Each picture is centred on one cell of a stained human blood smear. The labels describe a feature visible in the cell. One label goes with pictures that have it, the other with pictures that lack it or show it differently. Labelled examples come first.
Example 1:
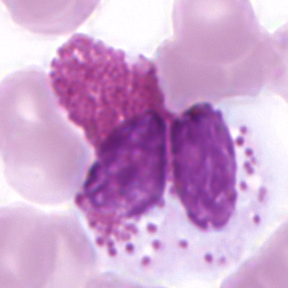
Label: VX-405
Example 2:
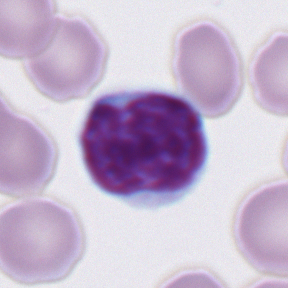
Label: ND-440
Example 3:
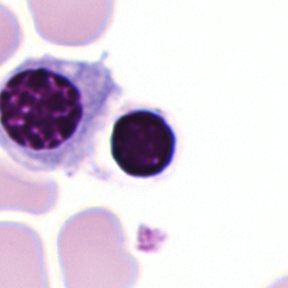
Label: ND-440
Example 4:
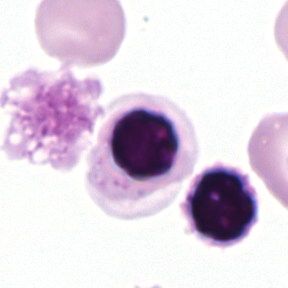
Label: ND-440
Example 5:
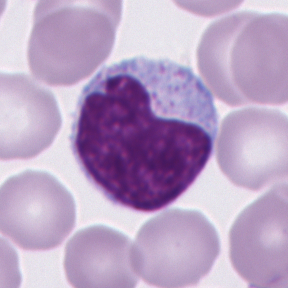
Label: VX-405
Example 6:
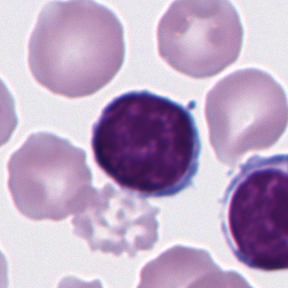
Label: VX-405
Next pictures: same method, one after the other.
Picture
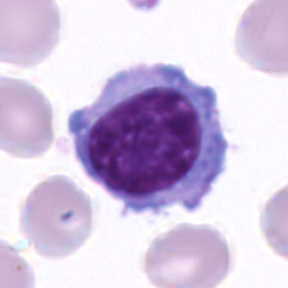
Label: VX-405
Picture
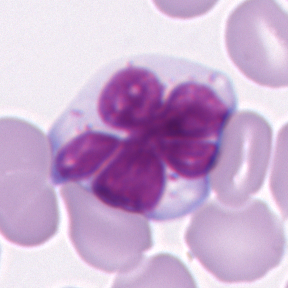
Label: ND-440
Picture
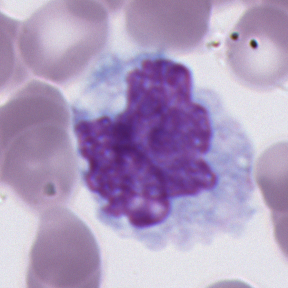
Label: VX-405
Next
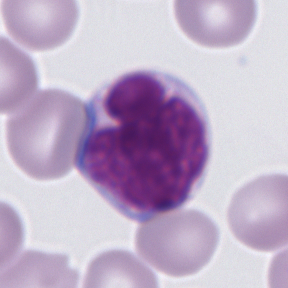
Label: ND-440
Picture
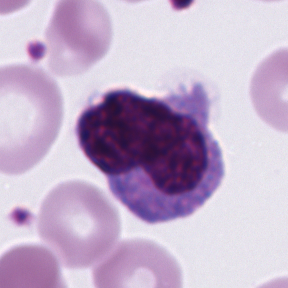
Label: VX-405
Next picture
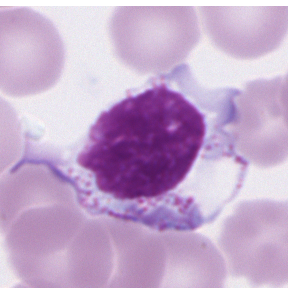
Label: VX-405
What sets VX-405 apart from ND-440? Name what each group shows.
VX-405: ragged outline or projections; ND-440: smooth outline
